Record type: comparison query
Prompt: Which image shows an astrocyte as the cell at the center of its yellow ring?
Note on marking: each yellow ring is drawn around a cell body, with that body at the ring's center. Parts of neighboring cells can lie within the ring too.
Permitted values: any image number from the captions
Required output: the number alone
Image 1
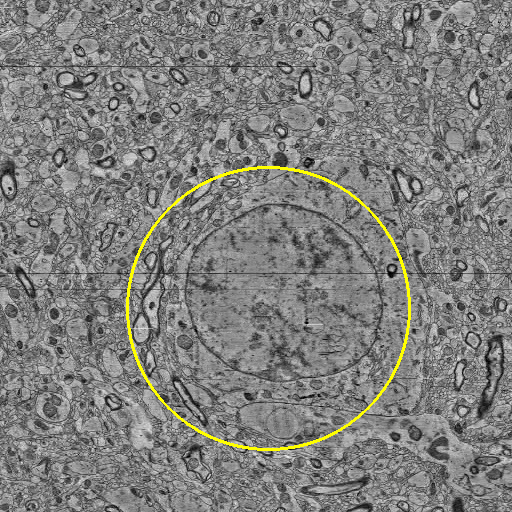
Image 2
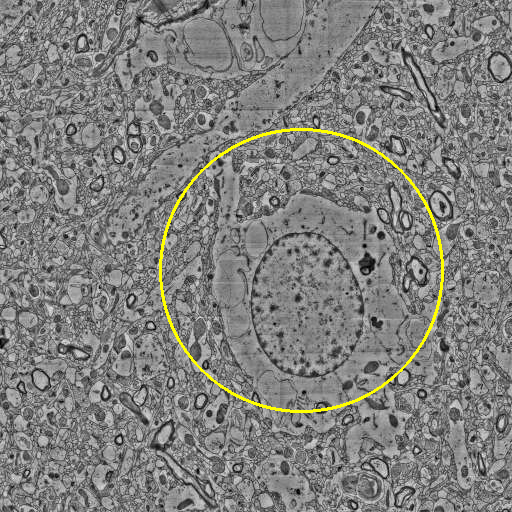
2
